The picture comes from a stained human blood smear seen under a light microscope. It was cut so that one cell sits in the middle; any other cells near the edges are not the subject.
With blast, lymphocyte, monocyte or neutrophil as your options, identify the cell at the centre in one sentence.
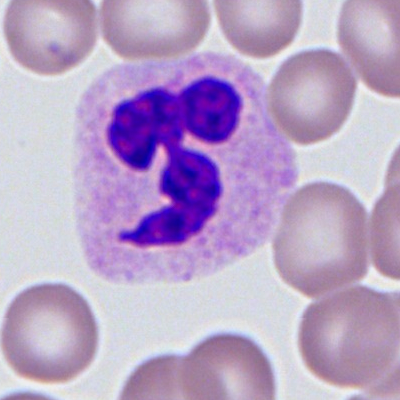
The cell that lies at the centre of the crop is a neutrophil.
